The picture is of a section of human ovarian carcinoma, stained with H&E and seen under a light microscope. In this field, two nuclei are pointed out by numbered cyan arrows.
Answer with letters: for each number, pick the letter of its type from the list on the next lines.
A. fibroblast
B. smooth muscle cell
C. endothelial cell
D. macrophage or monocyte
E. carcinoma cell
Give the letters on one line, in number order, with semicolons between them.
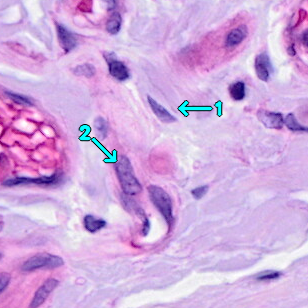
A; C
